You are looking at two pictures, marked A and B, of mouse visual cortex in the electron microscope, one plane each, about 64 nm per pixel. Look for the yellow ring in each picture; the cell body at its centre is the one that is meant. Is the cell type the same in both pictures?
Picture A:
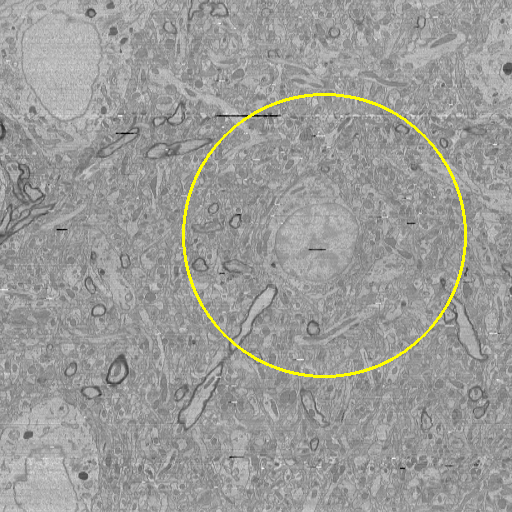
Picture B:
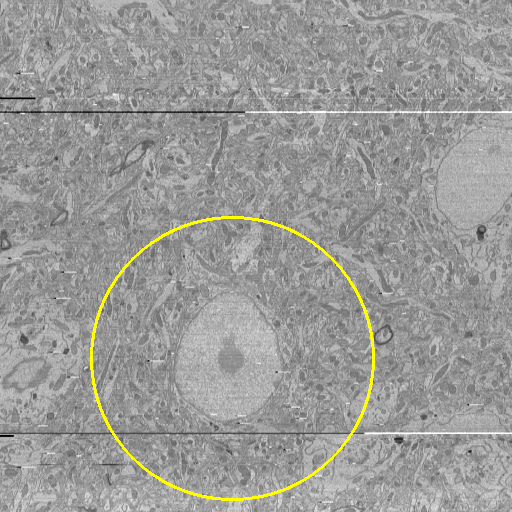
No, the types are not the same, since picture A shows an oligodendrocyte and picture B an astrocyte.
